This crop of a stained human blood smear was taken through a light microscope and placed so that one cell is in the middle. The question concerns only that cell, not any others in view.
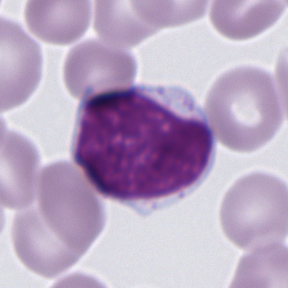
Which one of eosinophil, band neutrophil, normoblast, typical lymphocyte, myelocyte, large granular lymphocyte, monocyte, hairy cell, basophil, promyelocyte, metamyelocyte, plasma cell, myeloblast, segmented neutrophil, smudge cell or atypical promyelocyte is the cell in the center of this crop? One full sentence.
The cell at the middle of the frame should be recorded as a large granular lymphocyte.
